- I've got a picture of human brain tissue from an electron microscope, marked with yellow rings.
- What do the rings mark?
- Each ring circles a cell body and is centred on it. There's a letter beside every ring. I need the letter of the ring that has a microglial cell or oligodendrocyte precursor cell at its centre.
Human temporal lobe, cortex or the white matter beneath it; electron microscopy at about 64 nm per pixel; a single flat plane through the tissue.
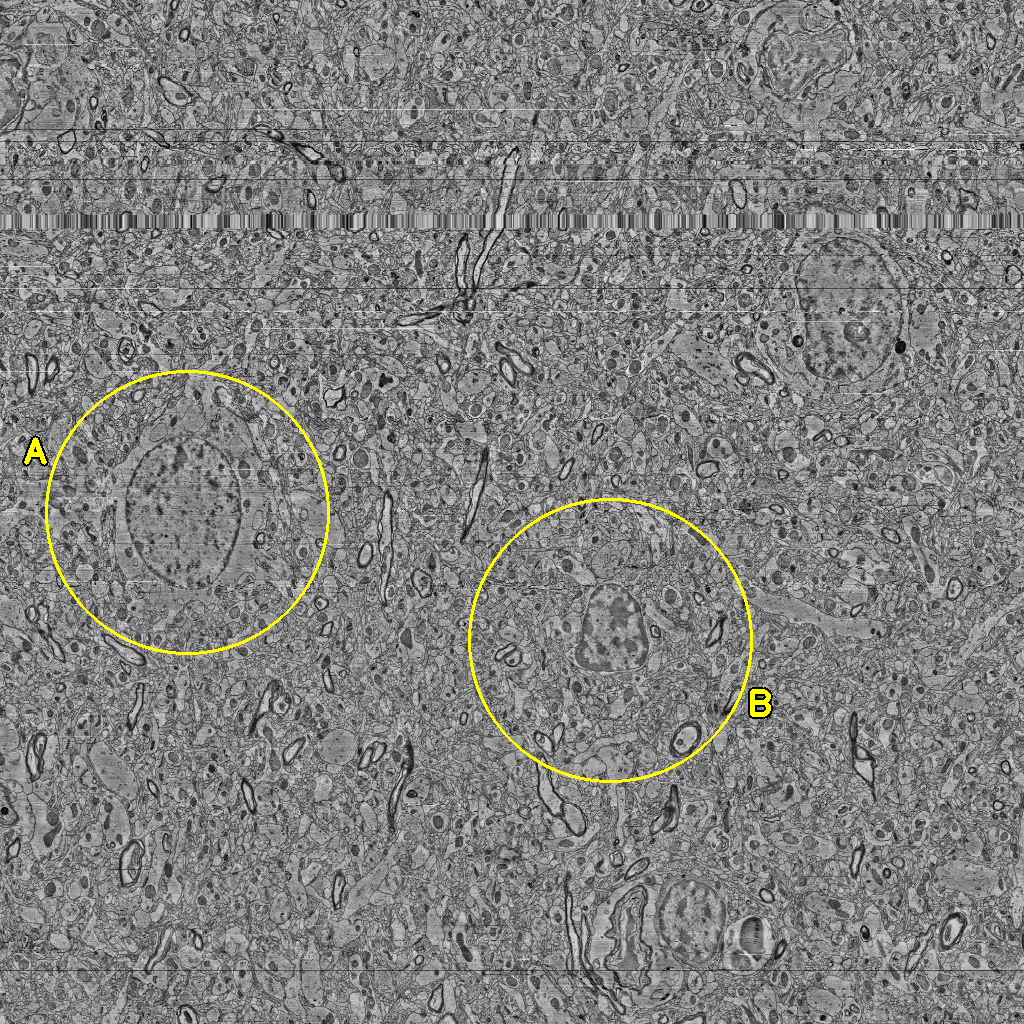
B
